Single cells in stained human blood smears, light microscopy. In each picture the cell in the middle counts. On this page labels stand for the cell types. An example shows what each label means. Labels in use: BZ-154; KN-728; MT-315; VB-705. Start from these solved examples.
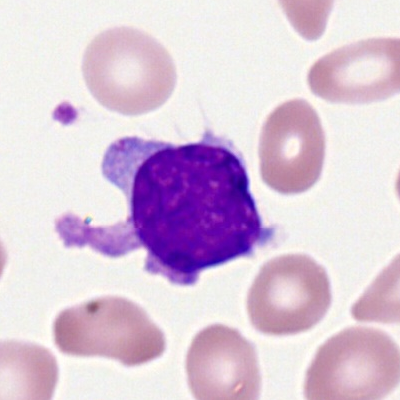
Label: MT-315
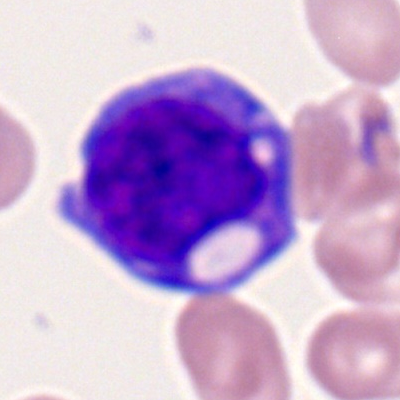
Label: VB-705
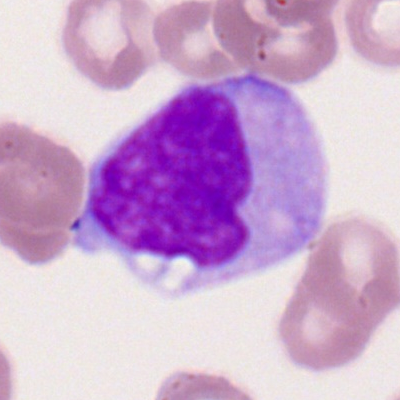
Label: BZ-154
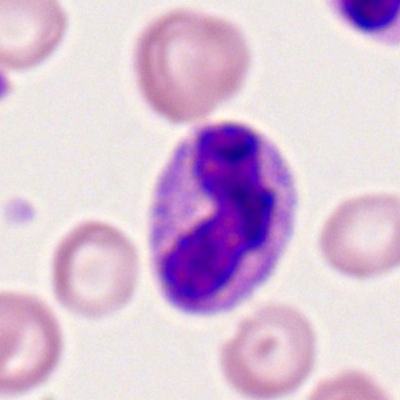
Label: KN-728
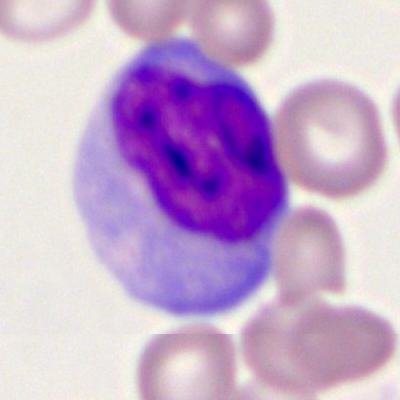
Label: BZ-154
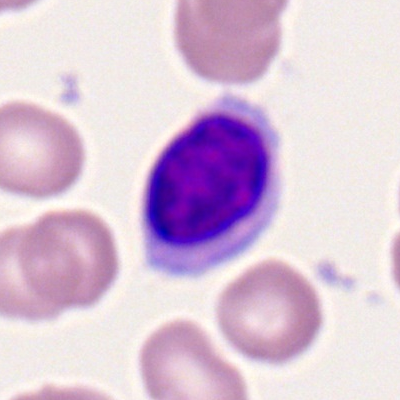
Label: MT-315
